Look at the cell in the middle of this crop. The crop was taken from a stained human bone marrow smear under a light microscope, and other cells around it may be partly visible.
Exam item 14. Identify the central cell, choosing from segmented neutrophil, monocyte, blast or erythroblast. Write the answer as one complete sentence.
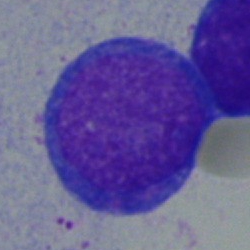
Standing at the centre of this crop is a blast.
